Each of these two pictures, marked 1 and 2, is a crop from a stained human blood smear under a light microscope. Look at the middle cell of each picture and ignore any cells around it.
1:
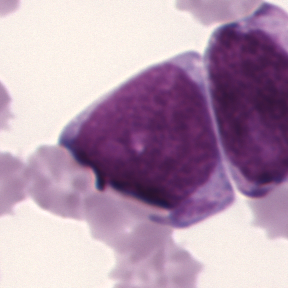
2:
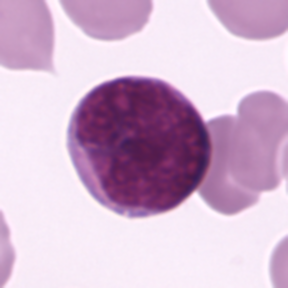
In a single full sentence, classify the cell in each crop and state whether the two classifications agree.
Yes, both of the crops show myeloblasts.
